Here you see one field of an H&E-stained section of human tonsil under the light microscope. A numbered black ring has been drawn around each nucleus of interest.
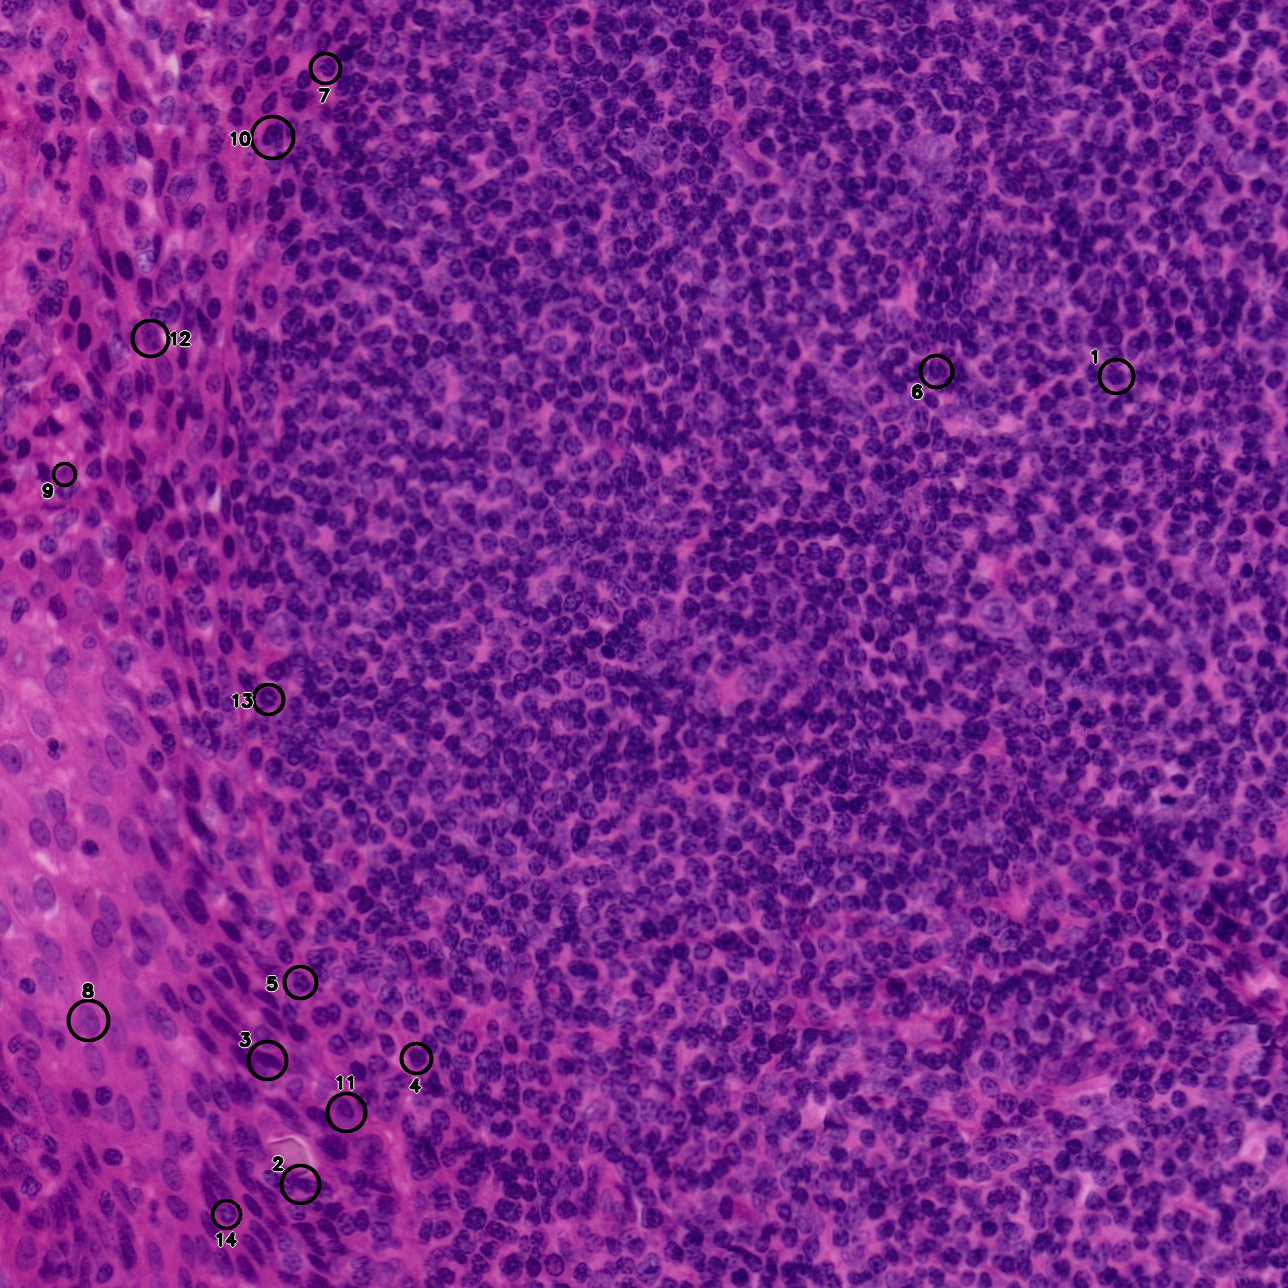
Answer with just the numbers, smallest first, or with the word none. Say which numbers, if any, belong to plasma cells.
4, 5, 7, 10, 13, 14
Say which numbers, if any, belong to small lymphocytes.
1, 6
